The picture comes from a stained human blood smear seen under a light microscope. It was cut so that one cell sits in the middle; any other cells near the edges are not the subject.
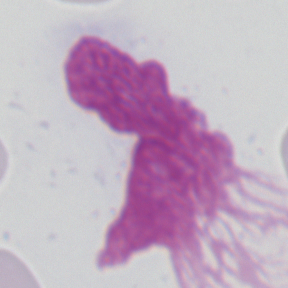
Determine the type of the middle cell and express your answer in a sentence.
The crop's centre is taken up by a smudge cell.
